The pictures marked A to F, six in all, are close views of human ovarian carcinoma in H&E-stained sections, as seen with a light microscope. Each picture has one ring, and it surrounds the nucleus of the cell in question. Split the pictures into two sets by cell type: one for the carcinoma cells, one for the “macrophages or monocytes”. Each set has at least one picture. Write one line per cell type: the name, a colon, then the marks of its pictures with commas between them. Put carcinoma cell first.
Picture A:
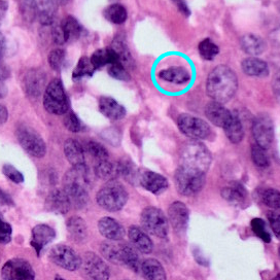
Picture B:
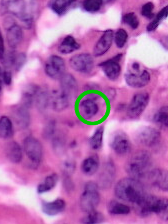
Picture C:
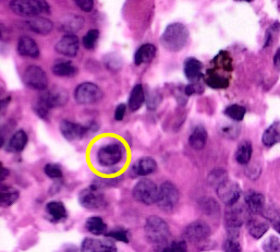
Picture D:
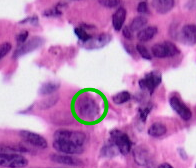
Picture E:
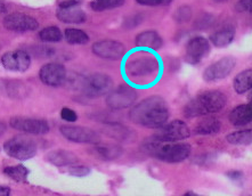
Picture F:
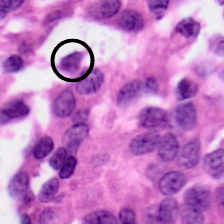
carcinoma cell: D, E, F
macrophage or monocyte: A, B, C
